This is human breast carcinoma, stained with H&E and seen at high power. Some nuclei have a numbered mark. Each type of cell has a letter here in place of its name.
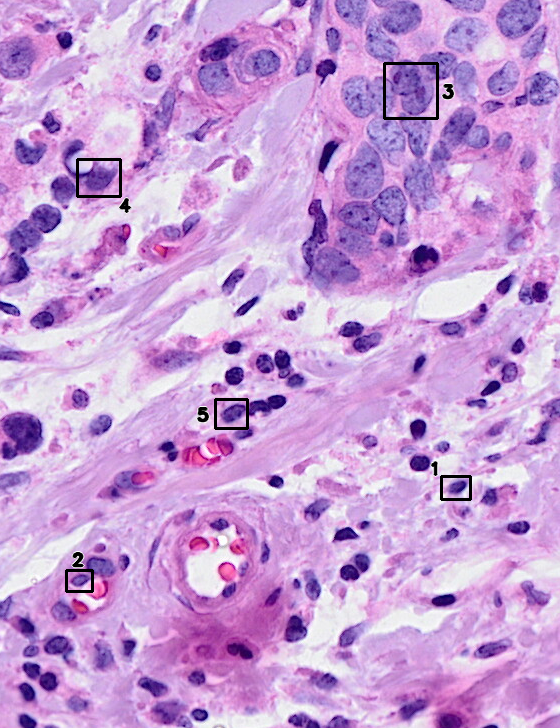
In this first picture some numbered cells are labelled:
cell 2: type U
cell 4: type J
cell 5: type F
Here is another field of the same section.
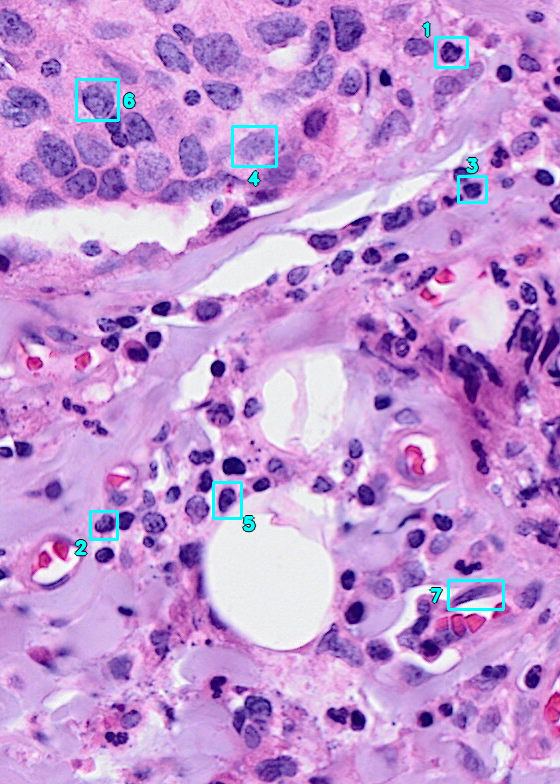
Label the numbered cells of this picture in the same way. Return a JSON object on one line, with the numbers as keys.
{"1": "type F", "2": "type F", "3": "type F", "4": "type J", "5": "type F", "6": "type J", "7": "type U"}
